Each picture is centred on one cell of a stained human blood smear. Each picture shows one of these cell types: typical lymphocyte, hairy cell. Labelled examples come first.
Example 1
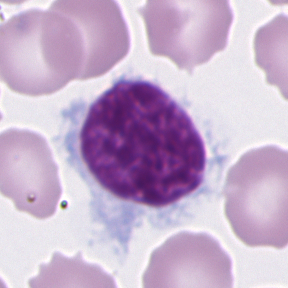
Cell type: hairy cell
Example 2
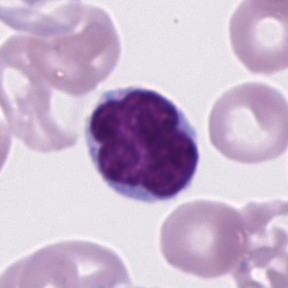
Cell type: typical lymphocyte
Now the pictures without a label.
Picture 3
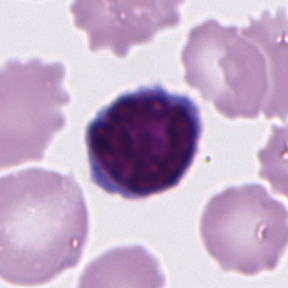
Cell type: typical lymphocyte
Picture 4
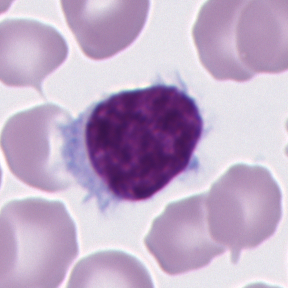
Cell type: hairy cell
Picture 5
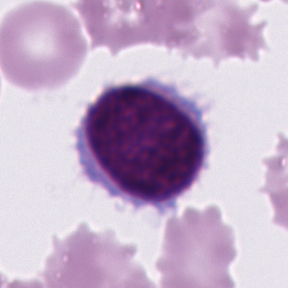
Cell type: hairy cell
